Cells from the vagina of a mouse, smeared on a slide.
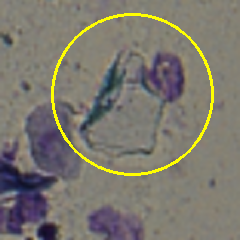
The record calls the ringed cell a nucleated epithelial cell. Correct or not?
Not correct; it is a cornified epithelial cell.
